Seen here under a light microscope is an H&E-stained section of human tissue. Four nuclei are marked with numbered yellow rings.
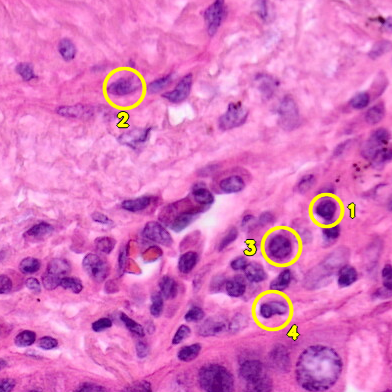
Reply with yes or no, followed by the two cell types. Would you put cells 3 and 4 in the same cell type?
No, cell 3 is a plasma cell and cell 4 is a lymphocyte.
